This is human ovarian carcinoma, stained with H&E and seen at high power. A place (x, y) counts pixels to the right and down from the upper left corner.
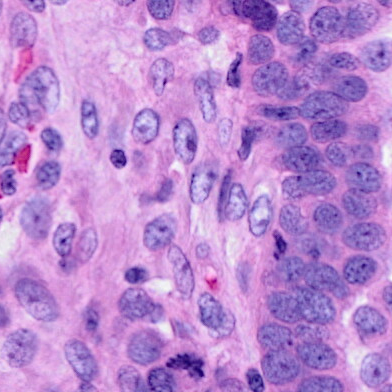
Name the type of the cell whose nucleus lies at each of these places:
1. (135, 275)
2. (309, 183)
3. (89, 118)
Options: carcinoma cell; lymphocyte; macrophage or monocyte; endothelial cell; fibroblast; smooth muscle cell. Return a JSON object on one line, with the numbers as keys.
{"1": "lymphocyte", "2": "carcinoma cell", "3": "fibroblast"}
